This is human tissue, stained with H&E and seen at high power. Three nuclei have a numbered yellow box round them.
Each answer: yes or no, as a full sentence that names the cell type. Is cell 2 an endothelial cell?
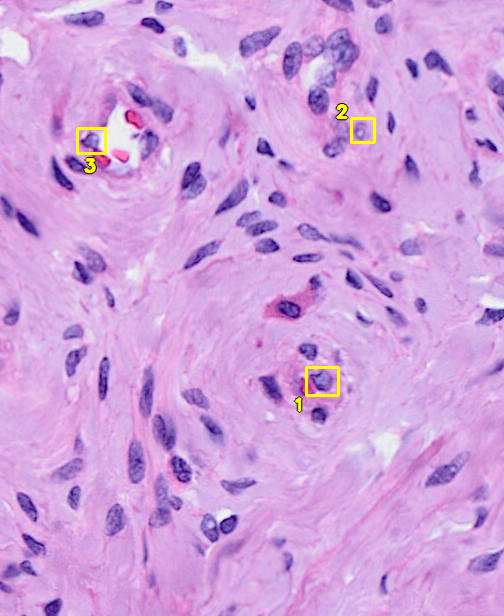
No, cell 2 represents a smooth muscle cell rather than an endothelial cell.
